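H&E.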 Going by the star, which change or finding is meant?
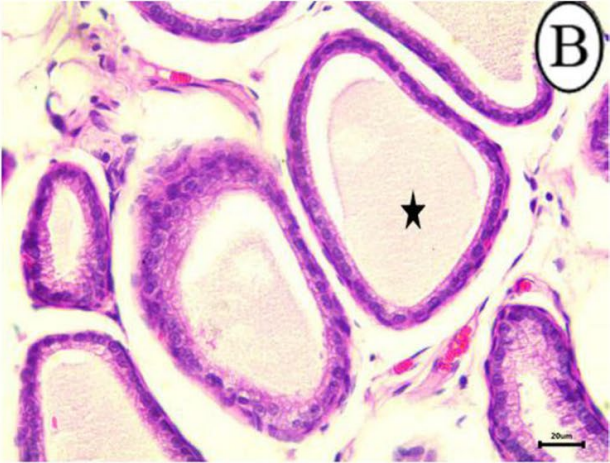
Devoid from spermatozoa.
